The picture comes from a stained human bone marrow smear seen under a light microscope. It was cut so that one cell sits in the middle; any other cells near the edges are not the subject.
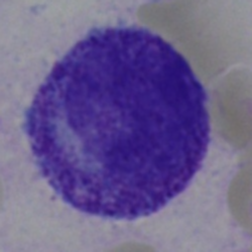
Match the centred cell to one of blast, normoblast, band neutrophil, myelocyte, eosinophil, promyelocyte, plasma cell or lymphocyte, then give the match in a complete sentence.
At the crop's centre, the cell is a promyelocyte.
